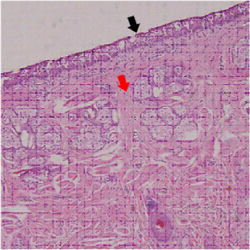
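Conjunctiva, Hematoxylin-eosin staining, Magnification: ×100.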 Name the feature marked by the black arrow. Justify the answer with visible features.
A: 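The arrow points to the thin purple cellular layer lining the upper surface. Underneath lies pink fibrous connective tissue. On this evidence: epithelial layer.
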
